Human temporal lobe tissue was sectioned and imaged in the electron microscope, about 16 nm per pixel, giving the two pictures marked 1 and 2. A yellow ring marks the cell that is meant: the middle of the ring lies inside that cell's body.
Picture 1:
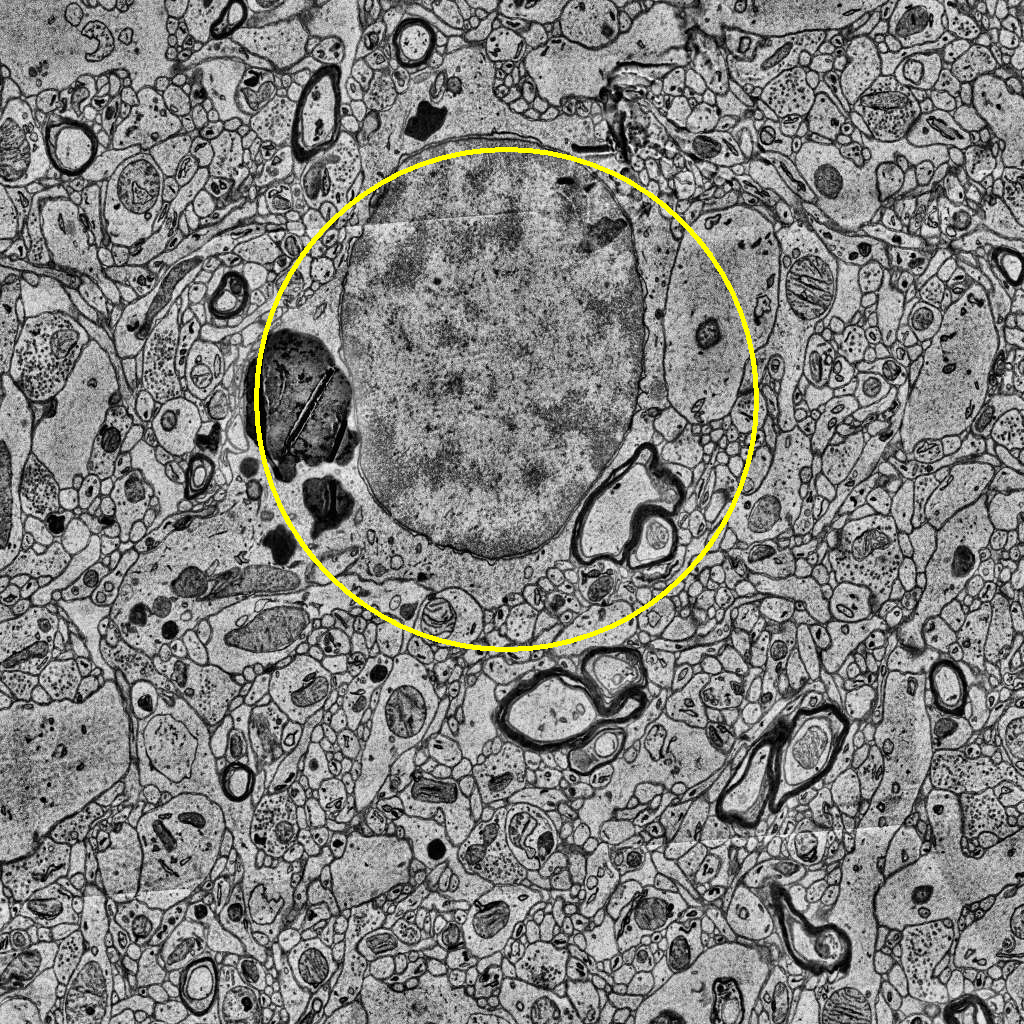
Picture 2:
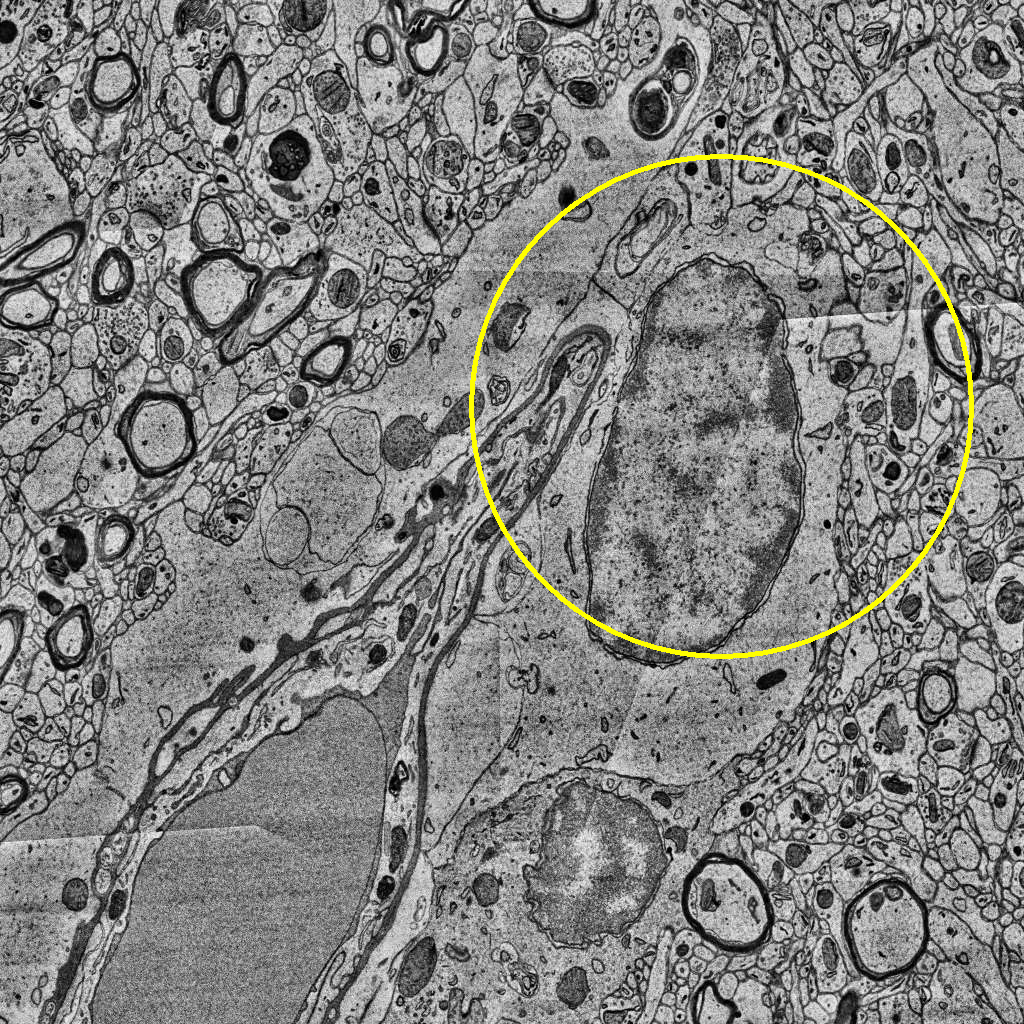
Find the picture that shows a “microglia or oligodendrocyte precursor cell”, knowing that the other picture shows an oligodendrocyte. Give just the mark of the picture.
2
